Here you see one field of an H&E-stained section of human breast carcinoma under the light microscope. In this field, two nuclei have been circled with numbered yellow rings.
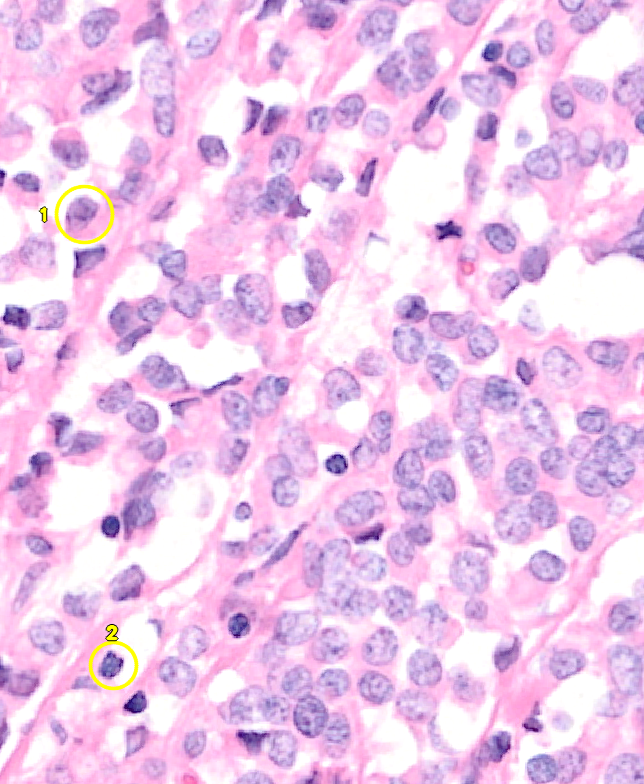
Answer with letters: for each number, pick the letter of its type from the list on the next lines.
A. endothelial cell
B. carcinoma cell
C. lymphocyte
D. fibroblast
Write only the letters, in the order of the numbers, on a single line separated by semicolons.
B; C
